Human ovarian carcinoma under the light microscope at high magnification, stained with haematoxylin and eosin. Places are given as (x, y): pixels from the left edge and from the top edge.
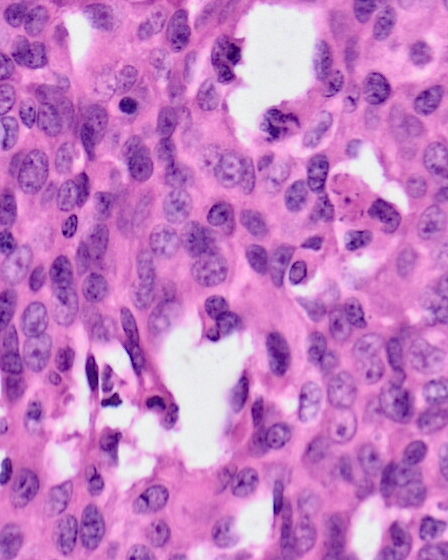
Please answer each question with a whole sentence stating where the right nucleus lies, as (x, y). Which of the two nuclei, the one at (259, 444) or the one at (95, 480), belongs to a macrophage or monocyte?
Of these two nuclei, it is the one at (95, 480) that belongs to a macrophage or monocyte.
